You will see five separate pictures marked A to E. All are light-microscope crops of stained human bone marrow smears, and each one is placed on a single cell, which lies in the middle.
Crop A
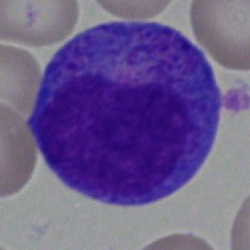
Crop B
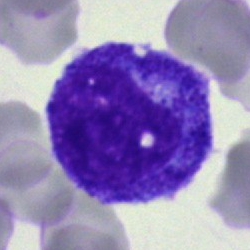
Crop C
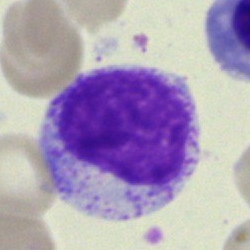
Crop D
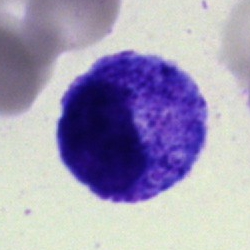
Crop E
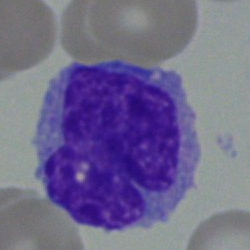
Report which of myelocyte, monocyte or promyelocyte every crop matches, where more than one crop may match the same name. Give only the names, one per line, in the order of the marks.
promyelocyte
promyelocyte
myelocyte
promyelocyte
monocyte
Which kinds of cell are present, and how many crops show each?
promyelocyte: 3
myelocyte: 1
monocyte: 1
